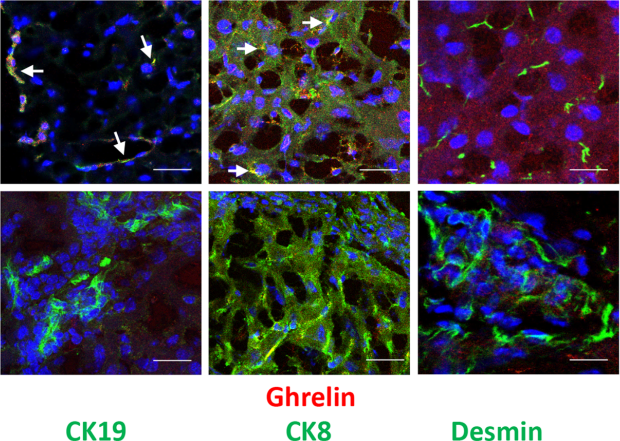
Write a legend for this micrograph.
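In the upper row, small yellow spots, pointed out by white arrows, lie along thin green-lined cells and along the green network between larger cells, where red and green overlap; the third column shows slender green threads scattered in a faint red background. In the lower row the green label is denser and forms crowded, tangled networks and clusters around nuclei, while red and yellow spots are scarcely seen.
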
